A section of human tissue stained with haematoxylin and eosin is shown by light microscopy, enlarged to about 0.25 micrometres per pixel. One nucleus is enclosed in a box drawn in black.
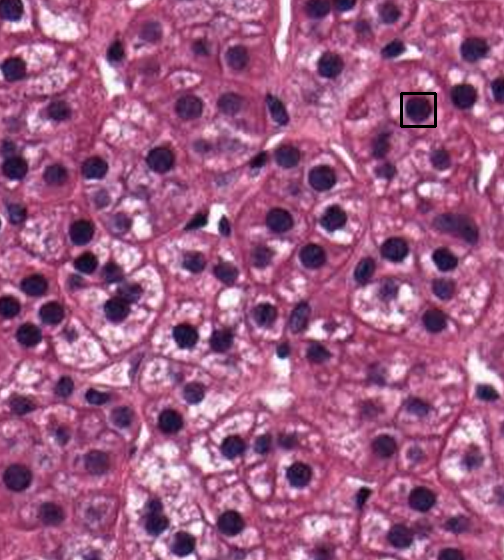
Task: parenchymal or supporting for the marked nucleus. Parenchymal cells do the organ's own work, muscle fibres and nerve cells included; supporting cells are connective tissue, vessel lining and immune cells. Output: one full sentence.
The marked nucleus lies within a parenchymal cell, which is an adrenal cortical cell.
